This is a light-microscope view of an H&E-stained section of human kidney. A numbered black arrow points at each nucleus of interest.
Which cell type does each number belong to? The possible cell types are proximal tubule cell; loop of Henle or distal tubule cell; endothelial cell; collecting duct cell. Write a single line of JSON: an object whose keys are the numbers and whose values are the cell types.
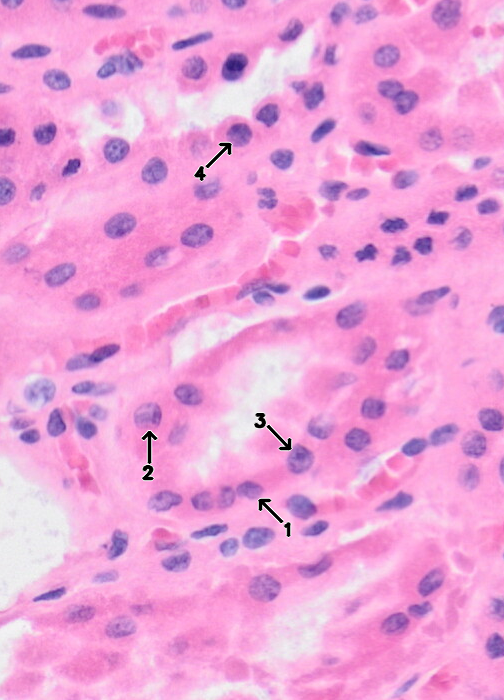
{"1": "proximal tubule cell", "2": "proximal tubule cell", "3": "proximal tubule cell", "4": "loop of Henle or distal tubule cell"}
